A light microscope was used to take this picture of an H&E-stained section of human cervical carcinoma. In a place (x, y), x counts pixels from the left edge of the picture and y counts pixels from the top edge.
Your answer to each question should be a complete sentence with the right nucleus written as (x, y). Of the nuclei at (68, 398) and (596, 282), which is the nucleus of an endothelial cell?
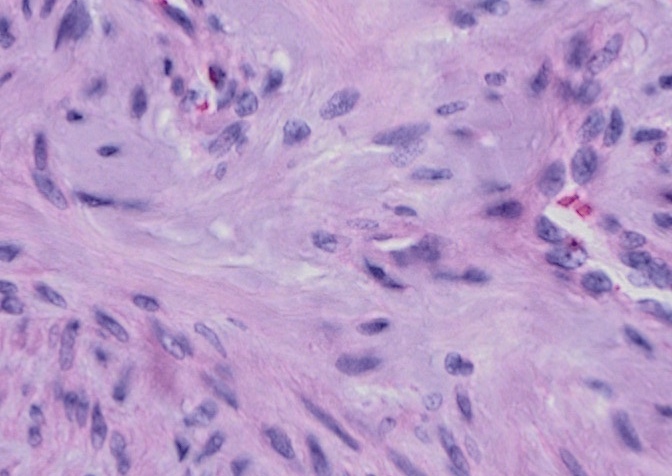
So, of the two, the nucleus at (596, 282) is the one belonging to an endothelial cell.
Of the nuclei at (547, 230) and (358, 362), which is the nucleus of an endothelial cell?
Which one belongs to an endothelial cell? The nucleus at (547, 230) does.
